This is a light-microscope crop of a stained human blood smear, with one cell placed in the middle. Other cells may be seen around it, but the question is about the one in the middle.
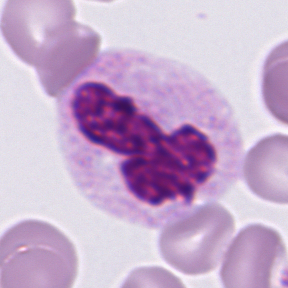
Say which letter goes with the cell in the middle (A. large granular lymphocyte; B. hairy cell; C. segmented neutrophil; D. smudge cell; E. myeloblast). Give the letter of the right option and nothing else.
C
